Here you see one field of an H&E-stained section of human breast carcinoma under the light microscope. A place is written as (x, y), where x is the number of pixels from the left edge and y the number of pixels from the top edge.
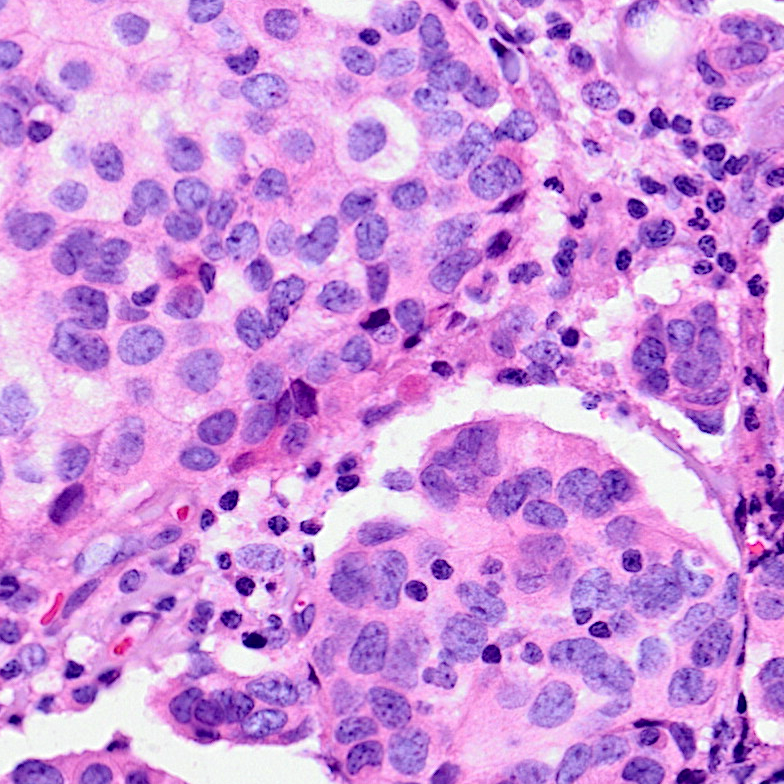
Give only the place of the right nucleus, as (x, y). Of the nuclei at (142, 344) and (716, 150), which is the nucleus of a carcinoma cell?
(142, 344)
